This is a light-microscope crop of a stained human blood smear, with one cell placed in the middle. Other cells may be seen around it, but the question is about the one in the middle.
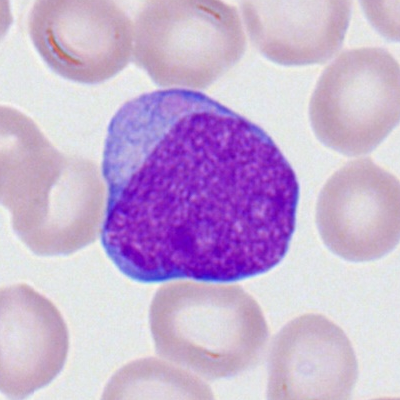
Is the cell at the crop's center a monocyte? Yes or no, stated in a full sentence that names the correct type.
No, sorry, the middle cell is a myeloblast rather than a monocyte.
